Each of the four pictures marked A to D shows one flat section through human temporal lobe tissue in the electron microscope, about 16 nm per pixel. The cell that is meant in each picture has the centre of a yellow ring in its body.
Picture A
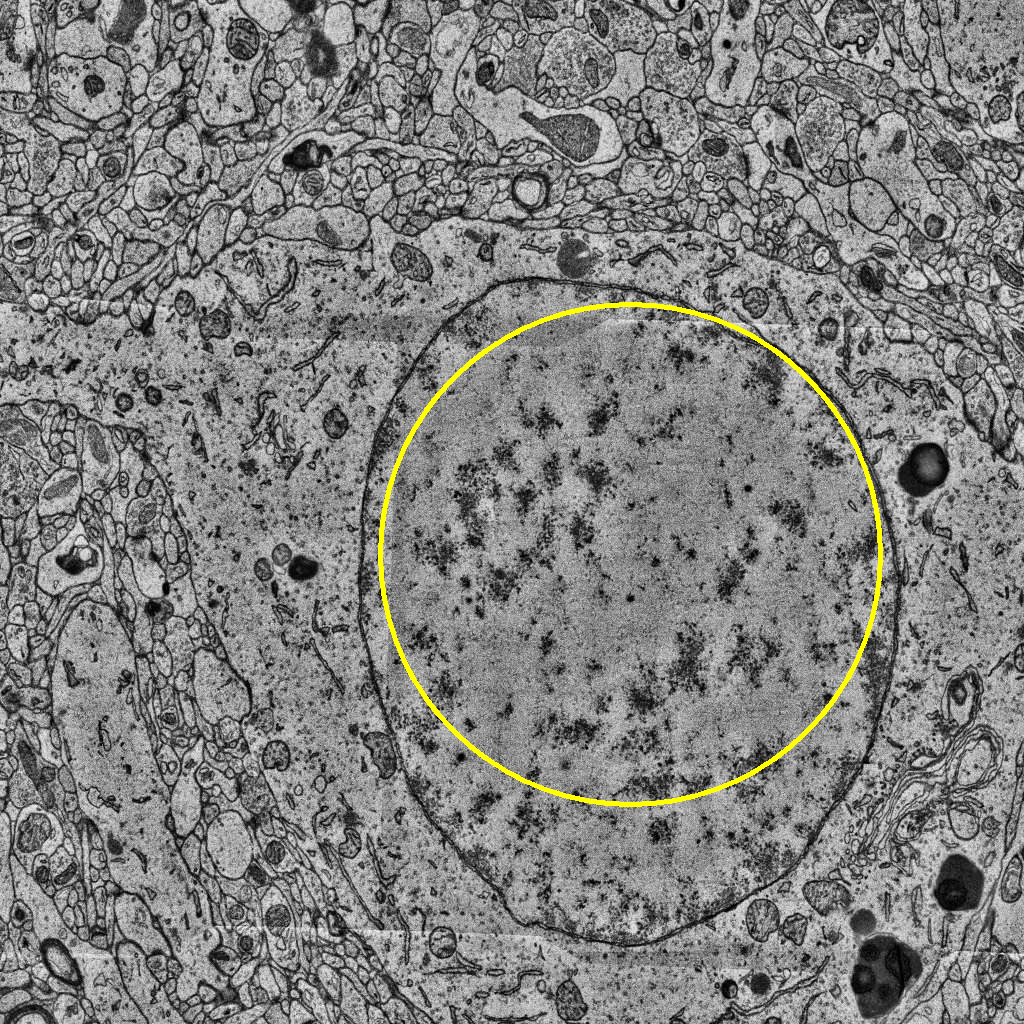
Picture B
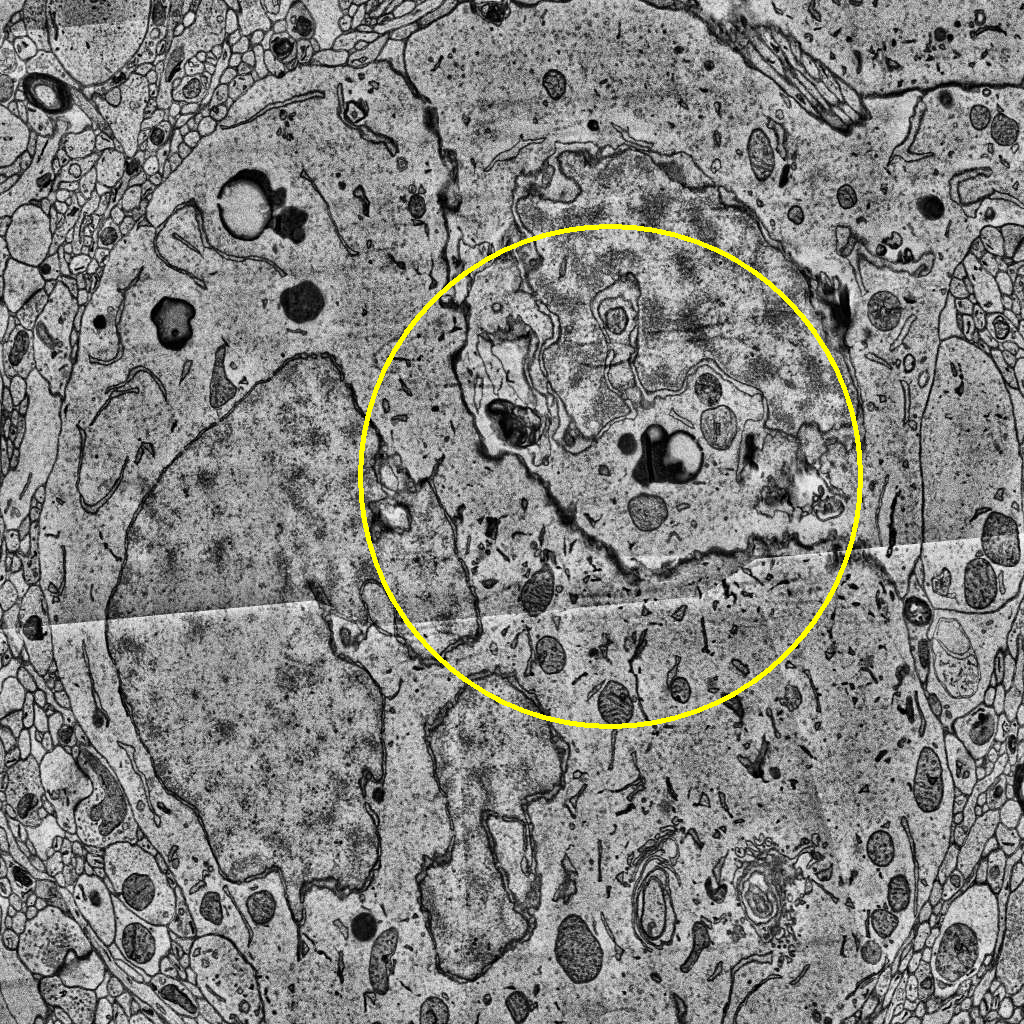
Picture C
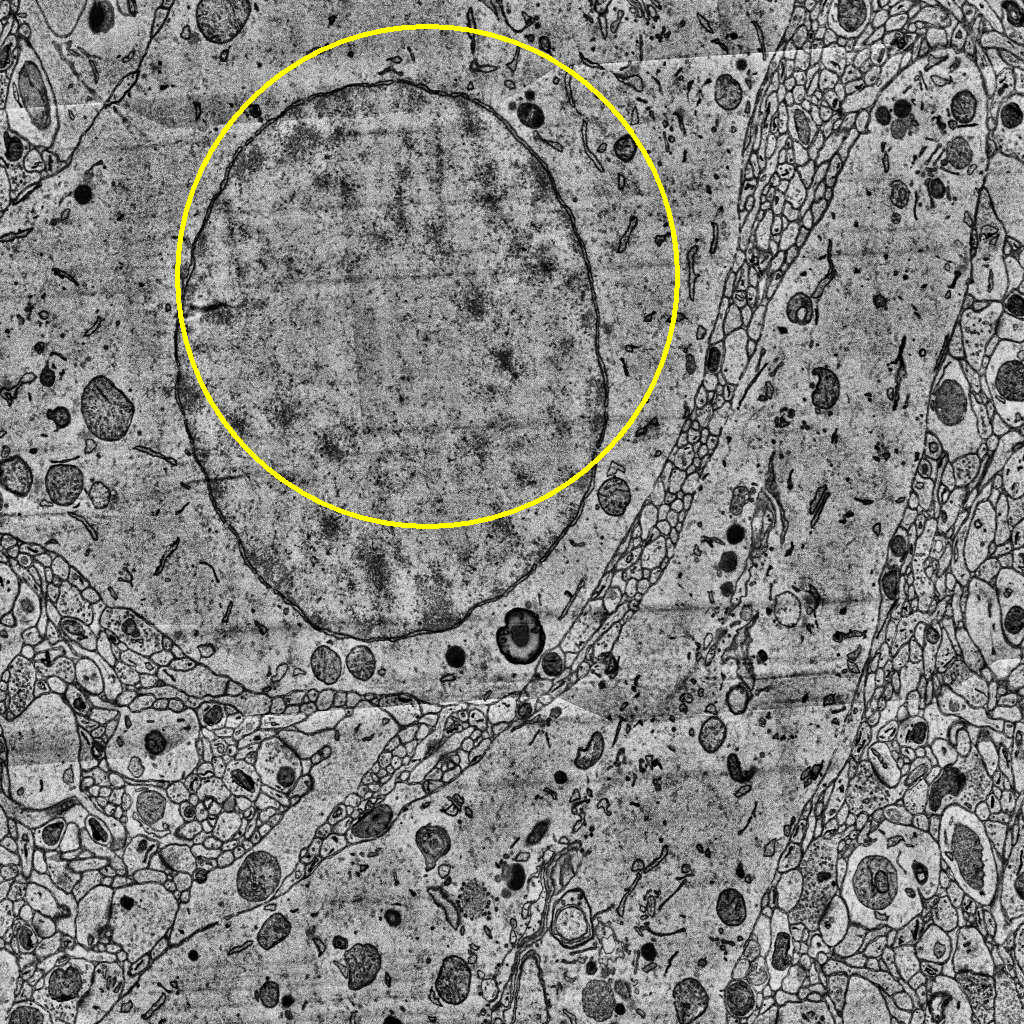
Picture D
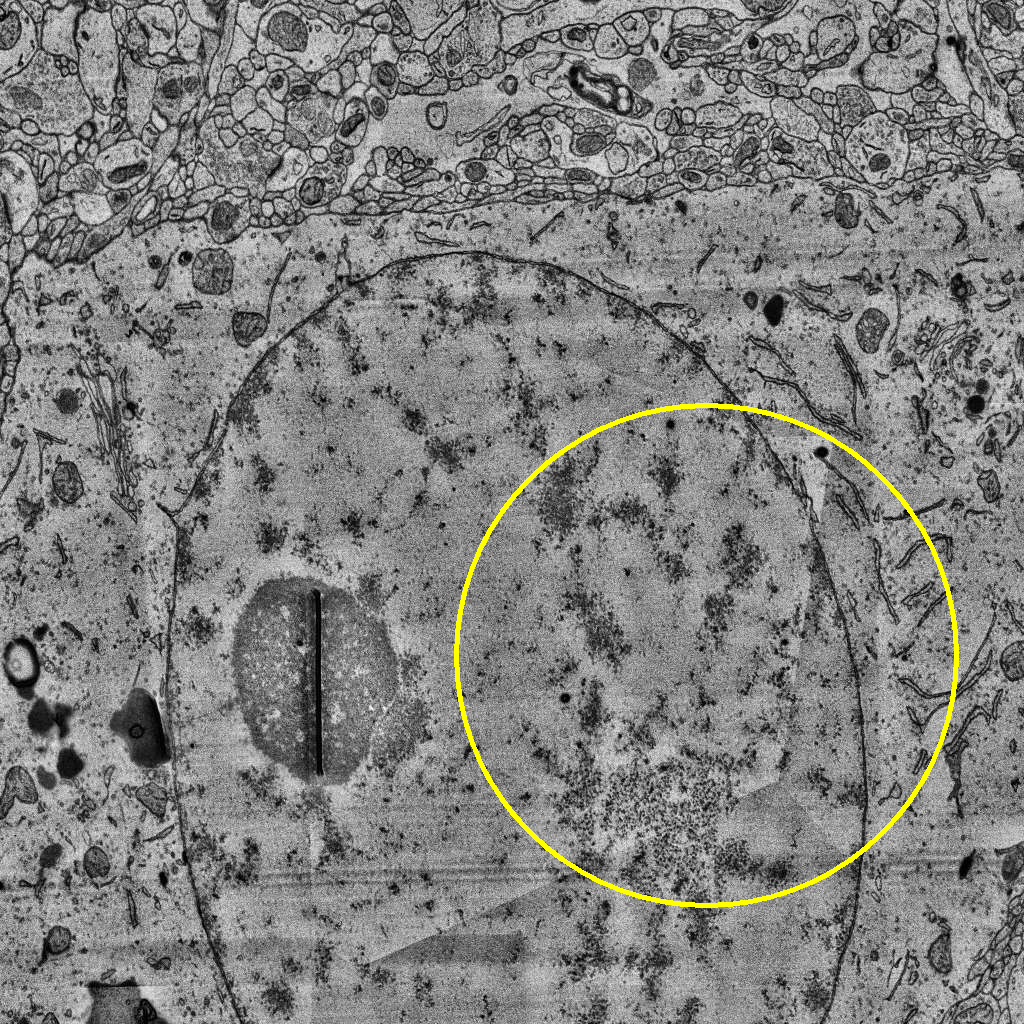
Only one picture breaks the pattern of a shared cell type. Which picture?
Unlike the rest, which show pyramidal neurons, picture B shows an interneuron.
